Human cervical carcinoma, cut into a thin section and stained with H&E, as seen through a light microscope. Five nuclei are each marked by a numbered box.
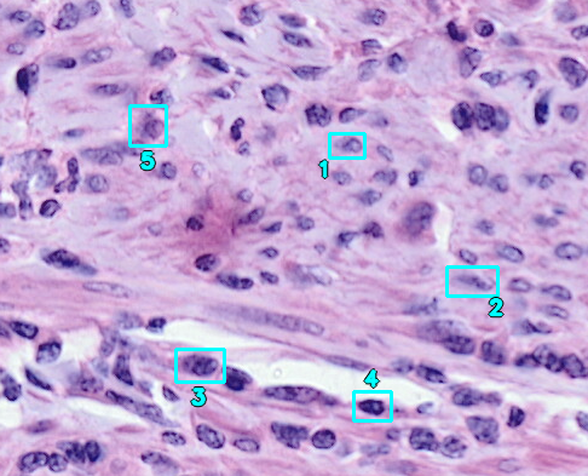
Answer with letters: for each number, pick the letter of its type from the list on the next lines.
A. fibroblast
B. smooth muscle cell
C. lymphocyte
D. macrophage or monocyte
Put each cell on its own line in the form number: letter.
1: B
2: A
3: C
4: C
5: D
